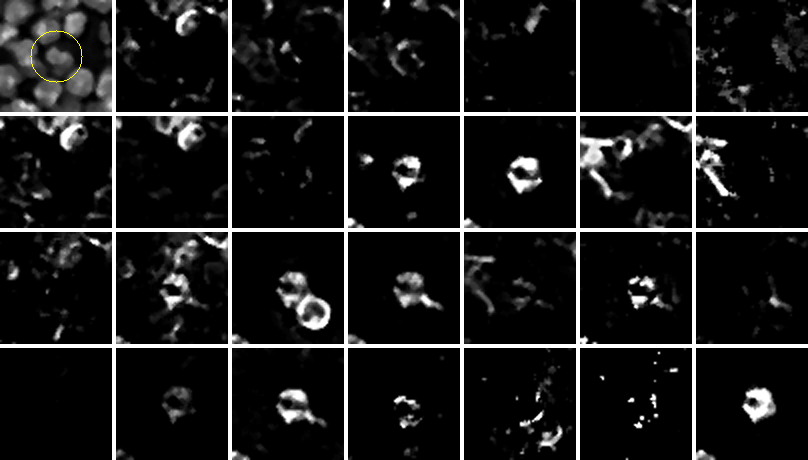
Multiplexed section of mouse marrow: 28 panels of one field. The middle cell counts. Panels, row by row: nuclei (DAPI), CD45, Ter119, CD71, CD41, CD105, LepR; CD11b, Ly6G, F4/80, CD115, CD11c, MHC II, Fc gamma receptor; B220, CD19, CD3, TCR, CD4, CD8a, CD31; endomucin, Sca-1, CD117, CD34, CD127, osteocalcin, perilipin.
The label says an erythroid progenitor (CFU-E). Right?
Right.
